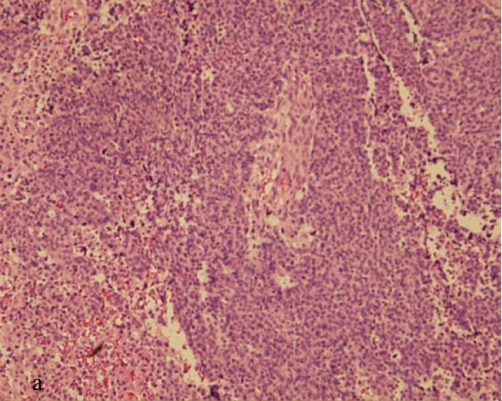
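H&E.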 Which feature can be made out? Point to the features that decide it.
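Densely packed small tumour cells form broad continuous fields. No glands or lumina formed by the tumour cells. The answer: solid sheets.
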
